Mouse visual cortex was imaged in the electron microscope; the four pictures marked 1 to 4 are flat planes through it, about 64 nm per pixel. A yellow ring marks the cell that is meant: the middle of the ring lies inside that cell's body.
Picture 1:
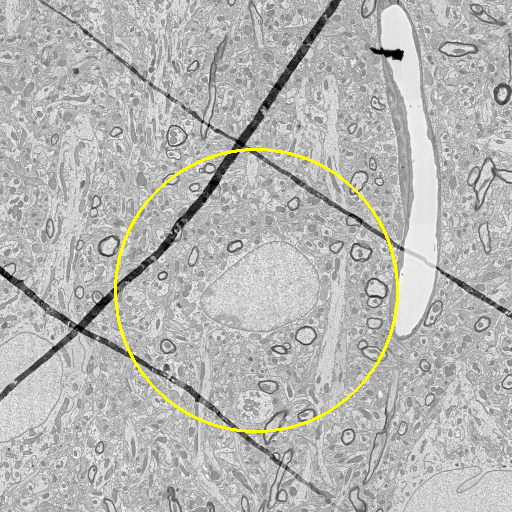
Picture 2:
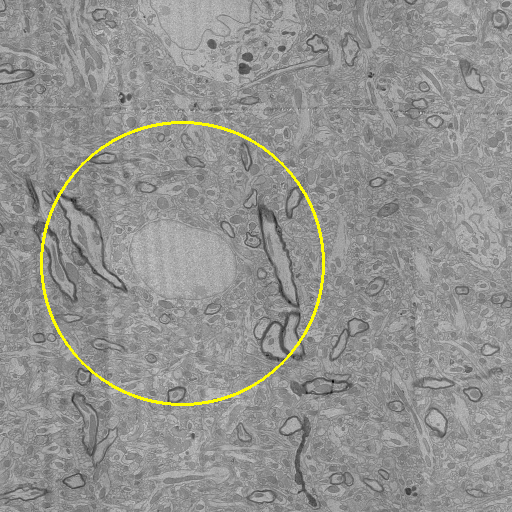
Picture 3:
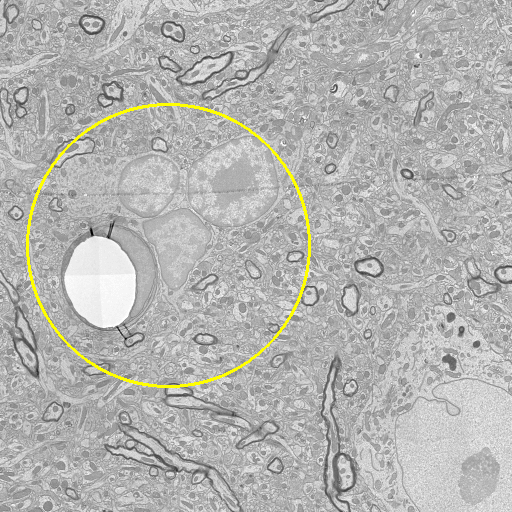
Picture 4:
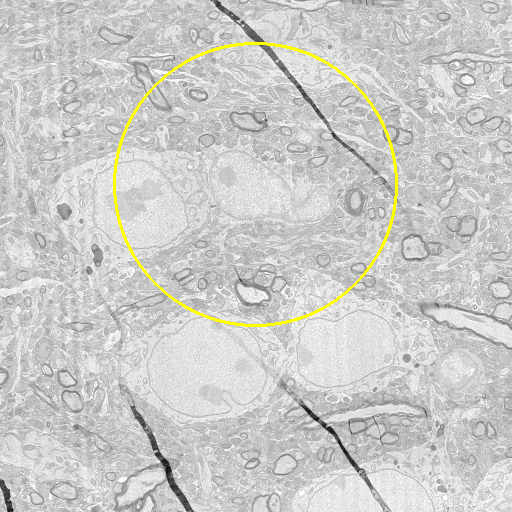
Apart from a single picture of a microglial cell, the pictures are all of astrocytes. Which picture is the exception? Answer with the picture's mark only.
3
